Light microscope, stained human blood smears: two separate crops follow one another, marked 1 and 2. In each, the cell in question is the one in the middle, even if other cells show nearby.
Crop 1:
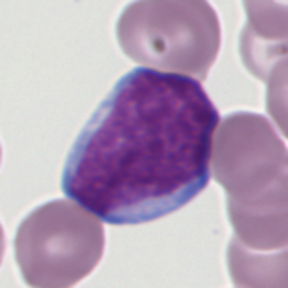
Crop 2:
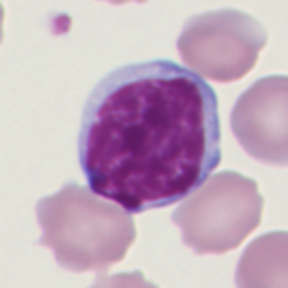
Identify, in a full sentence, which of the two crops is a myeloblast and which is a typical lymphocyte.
Crop 1 depicts a myeloblast, and crop 2 depicts a typical lymphocyte.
